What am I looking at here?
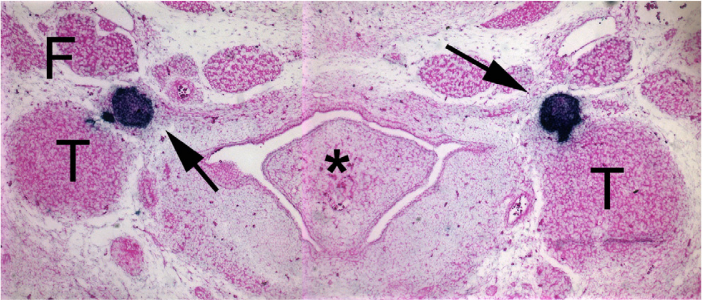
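Upper pharyngeal region with thymic primordia lying bilaterally beside the tongue. Two large rounded lobes of pink, finely textured, densely cellular tissue sit to the left and right. At the inner upper edge of each lobe lies a small compact cluster of cells stained dark blue, the parathyroid gland, abutting the lobe directly. In the midline a pink mass of tongue is set off by a thin cleft lined by epithelium. Scattered pink muscle bundles and loose mesenchyme with small vessels fill the space between.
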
